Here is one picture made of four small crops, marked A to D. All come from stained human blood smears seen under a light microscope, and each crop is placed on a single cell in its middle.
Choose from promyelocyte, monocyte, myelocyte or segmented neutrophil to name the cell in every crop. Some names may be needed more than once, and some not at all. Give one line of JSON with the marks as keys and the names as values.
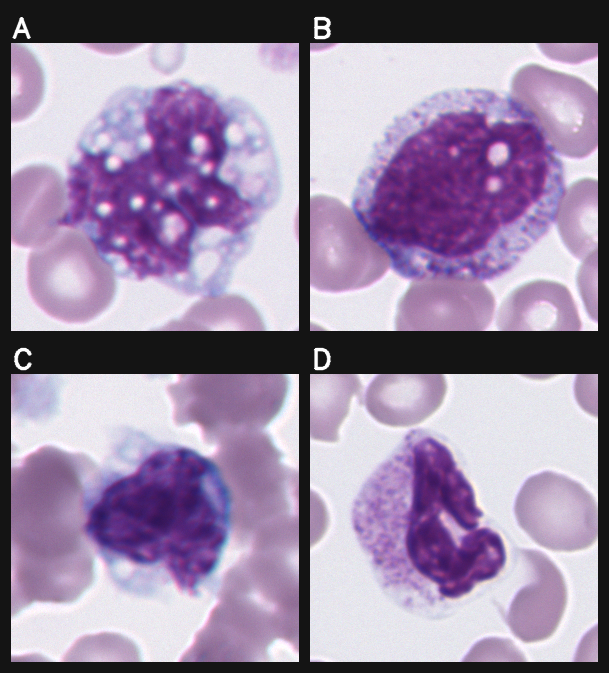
{"A": "monocyte", "B": "promyelocyte", "C": "monocyte", "D": "segmented neutrophil"}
